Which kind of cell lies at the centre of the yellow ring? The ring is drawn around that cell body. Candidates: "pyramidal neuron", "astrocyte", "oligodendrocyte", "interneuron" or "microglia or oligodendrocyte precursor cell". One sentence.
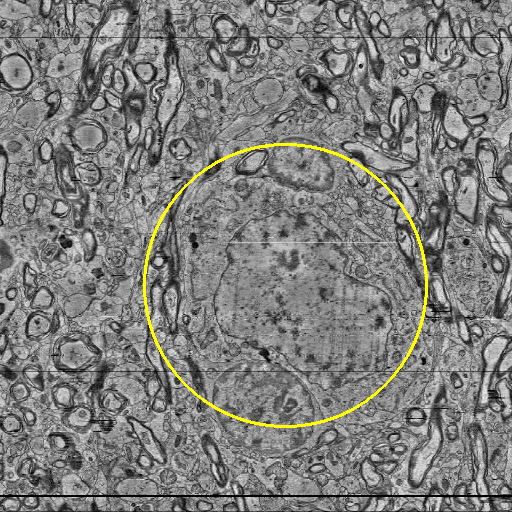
Lying at the centre of the ring is an interneuron.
